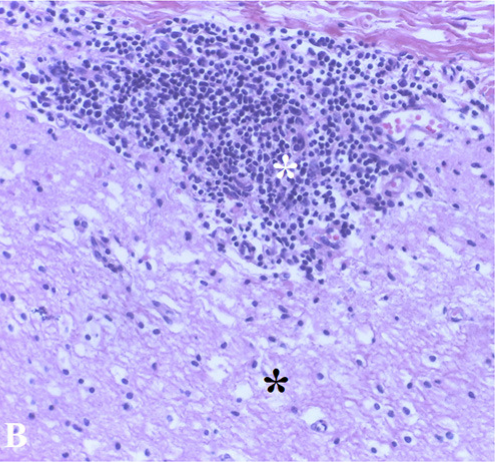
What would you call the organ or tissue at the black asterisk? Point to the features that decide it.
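A pale pink, finely fibrillary, loose matrix. Scattered small nuclei spread sparsely through the pale matrix. So: neural tissue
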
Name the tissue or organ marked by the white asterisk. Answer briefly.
Dense lymphoid aggregate.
